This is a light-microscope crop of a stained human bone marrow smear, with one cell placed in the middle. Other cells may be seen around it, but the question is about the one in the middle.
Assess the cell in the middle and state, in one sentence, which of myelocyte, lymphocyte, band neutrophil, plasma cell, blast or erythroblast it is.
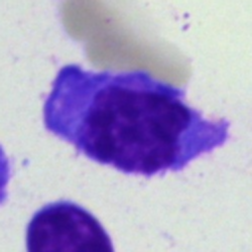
Classification of the middle cell gives a plasma cell.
